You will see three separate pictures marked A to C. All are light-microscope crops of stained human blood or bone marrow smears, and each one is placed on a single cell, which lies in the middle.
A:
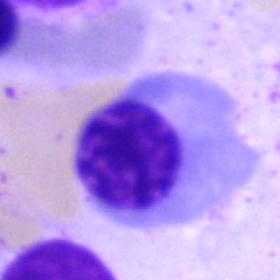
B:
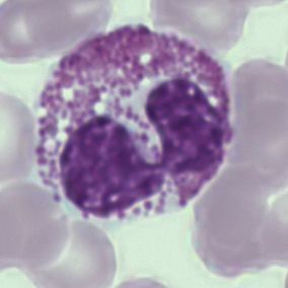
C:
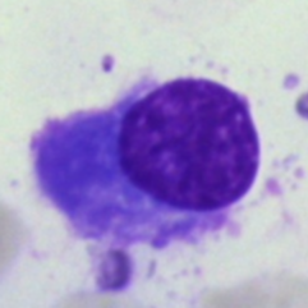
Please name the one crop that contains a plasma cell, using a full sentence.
Of the labeled crops, the one with a plasma cell is crop C.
